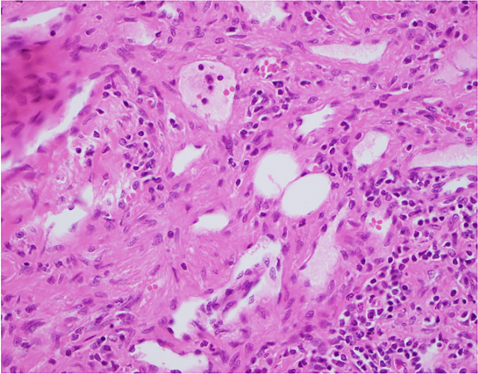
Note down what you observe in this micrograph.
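The spindle cells have elongated, cigar-shaped nuclei and pink cytoplasm and run in varying directions without an orderly pattern. Numerous small, thin-walled vascular channels, some containing red blood cells, are scattered through the pink stroma. Clear rounded spaces consistent with fat lie among the vessels. A cluster of small, round, darkly staining lymphoid cells is seen toward the lower right.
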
